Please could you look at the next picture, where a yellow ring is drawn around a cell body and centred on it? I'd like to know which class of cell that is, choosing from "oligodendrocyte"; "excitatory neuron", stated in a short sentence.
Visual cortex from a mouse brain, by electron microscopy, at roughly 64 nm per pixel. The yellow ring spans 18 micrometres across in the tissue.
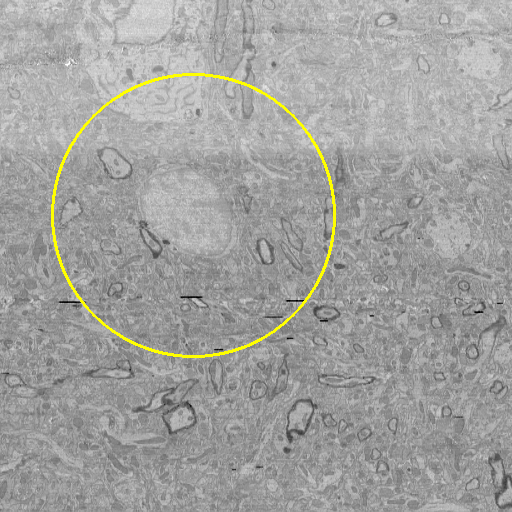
The ring's centre lies on an oligodendrocyte.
